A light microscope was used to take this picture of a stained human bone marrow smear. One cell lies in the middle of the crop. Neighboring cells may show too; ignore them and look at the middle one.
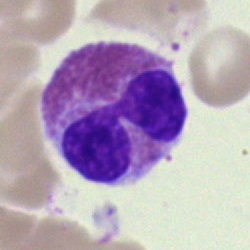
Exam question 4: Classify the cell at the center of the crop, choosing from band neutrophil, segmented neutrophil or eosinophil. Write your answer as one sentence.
The cell the crop is centered on is an eosinophil.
